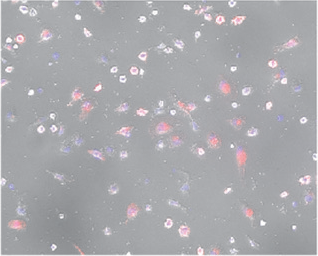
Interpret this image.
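Some cells are small, round and bright-rimmed, while others are flattened and spread with short irregular processes. Red fluorescent spots sit within the bodies of many of the cells, next to faint blue nuclei.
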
